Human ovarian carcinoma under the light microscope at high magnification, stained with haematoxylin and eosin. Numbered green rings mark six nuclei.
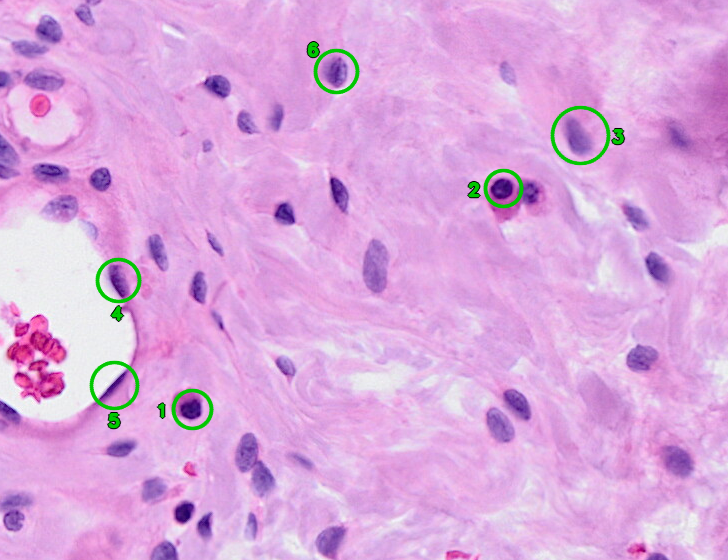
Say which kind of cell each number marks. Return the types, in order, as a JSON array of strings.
["lymphocyte", "lymphocyte", "fibroblast", "endothelial cell", "endothelial cell", "fibroblast"]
